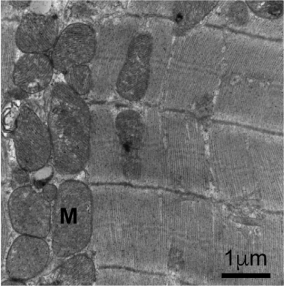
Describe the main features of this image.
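This electron micrograph of heart muscle shows myofibrils with regular cross-striations running across the field, with rows of oval mitochondria packed between them on the left. The mitochondria sit tightly side by side, abutting the myofibrils.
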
